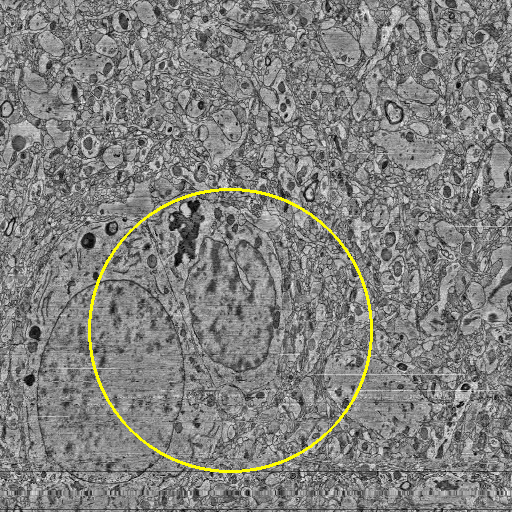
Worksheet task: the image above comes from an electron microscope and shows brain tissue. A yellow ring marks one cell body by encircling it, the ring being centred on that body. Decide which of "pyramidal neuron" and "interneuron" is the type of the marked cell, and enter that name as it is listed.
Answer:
interneuron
